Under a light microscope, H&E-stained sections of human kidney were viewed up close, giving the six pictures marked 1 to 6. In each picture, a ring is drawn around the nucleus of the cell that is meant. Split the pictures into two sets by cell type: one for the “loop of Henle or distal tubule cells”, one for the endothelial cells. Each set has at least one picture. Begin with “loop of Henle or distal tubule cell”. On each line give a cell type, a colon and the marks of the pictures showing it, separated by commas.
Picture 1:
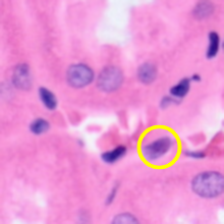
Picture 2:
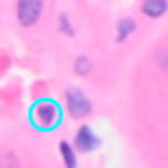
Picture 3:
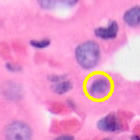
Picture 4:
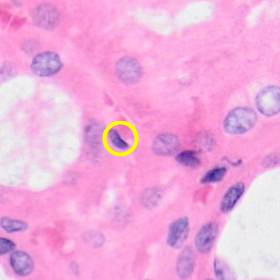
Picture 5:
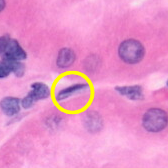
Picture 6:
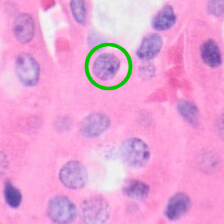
loop of Henle or distal tubule cell: 3, 6
endothelial cell: 1, 2, 4, 5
